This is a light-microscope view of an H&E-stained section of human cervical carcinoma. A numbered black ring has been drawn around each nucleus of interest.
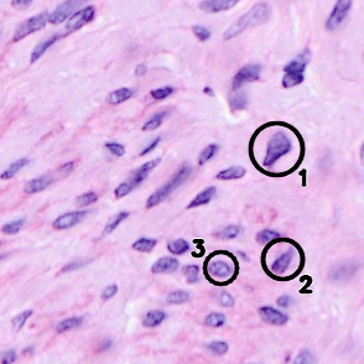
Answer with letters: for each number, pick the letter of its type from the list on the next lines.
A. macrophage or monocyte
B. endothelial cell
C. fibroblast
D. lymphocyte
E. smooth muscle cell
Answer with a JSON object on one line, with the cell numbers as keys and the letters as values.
{"1": "C", "2": "E", "3": "E"}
